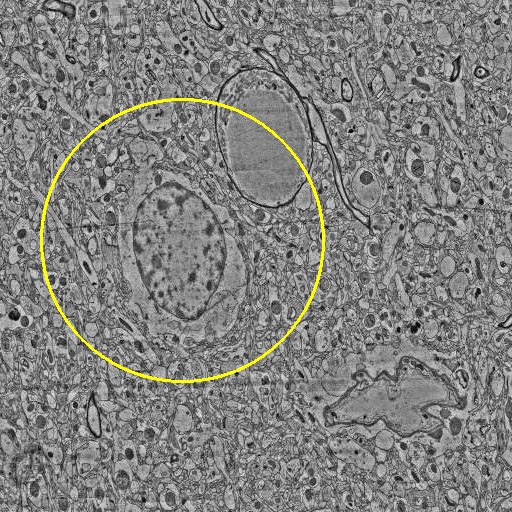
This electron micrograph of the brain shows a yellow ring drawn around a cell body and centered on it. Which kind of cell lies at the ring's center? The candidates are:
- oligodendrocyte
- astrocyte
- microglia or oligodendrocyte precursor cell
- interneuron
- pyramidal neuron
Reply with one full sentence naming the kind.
The cell lying at the ring's center in this micrograph is an astrocyte.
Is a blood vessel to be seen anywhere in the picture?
Yes, a vessel shows somewhere in the image.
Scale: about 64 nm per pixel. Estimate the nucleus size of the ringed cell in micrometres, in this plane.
Roughly 9 micrometres long and 6 micrometres wide; in this plane the nucleus is clearly longer than it is wide.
